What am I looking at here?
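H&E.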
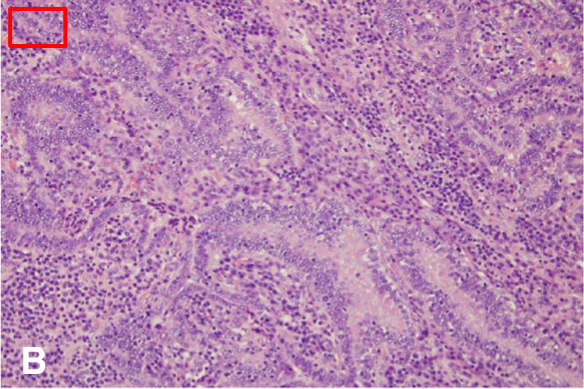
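Fallopian tube mucosa with proliferating epithelium forms branching, gland-like folds lined by columnar cells. The epithelium is stratified, with crowded, elongated, dark purple nuclei stacked several layers deep. Between the epithelial folds the stroma is densely filled with small round cells with dark nuclei, an inflammatory infiltrate.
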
